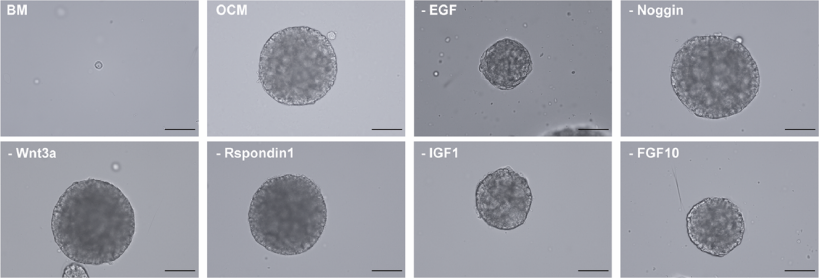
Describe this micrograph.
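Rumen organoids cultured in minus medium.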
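The spheres have a dense, granular interior of closely packed cells, and they differ in size between images. One image holds no sphere, only a few tiny scattered particles.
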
